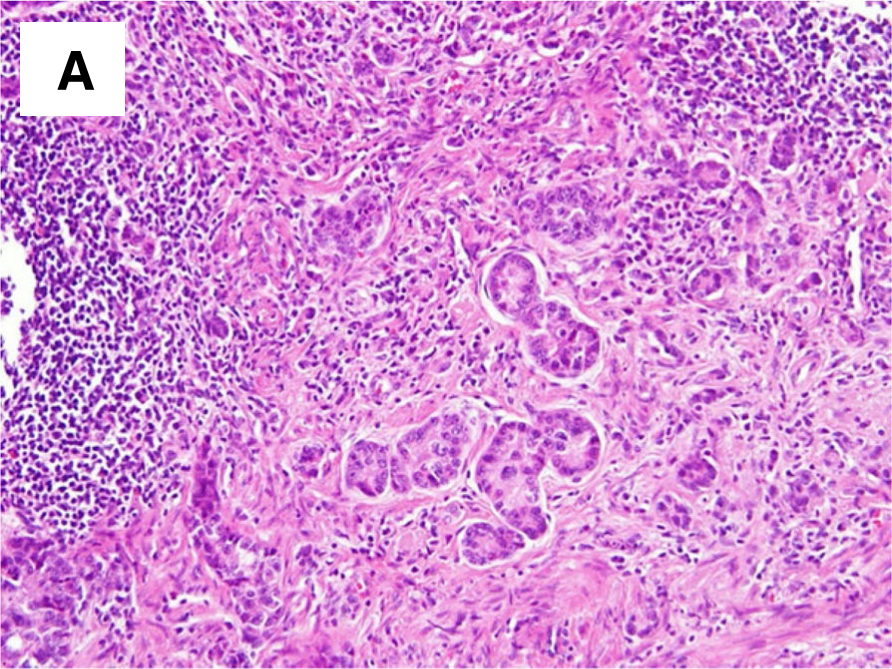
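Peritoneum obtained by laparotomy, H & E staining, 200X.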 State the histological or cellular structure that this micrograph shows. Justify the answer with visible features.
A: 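Epithelial cells form small compact nests and small gland-like rings. The clusters are scattered separately within stroma.
Answer: small solid or tubule-like tumor clusters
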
